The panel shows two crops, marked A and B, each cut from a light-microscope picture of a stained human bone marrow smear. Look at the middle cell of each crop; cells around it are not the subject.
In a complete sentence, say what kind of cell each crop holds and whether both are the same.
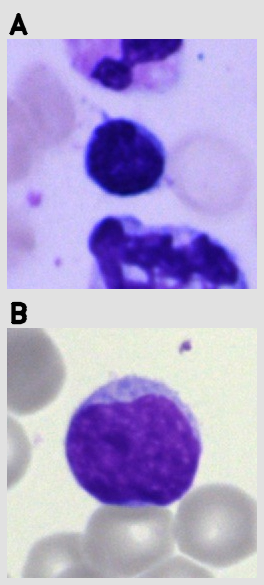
No, in crop A the cell is a lymphocyte, and in crop B it is a blast.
